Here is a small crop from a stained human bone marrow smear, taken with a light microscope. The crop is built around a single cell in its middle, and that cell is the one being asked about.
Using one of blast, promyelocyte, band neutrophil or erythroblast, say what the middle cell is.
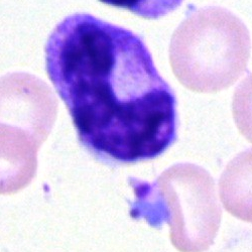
band neutrophil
